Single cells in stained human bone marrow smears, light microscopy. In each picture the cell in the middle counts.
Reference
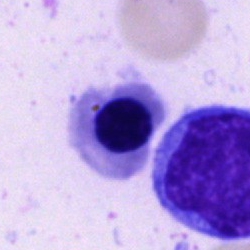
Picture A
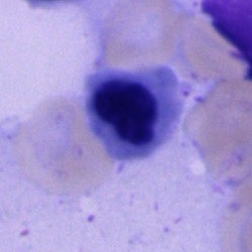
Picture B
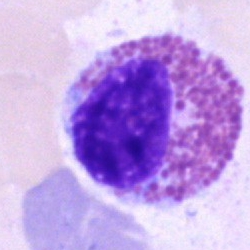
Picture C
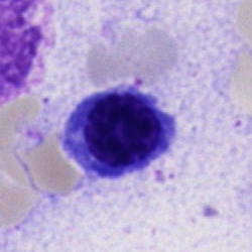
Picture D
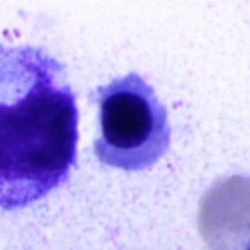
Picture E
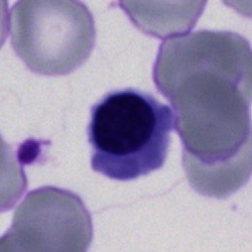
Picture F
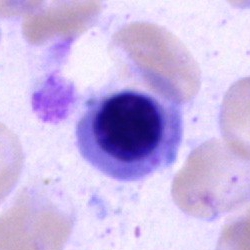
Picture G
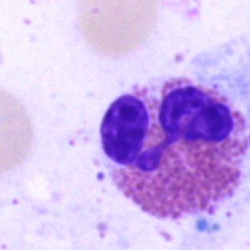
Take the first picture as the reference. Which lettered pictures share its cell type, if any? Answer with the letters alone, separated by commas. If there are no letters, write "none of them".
A, C, D, E, F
